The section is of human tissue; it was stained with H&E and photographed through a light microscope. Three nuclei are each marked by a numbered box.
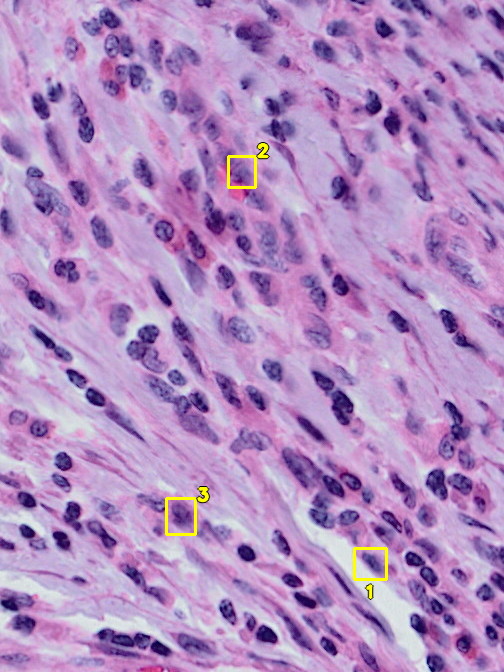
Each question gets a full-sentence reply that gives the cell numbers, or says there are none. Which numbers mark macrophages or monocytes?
Cell 3 is a macrophage or monocyte, while every other numbered cell is not.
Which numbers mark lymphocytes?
Only cell 1 qualifies as a lymphocyte among the numbered cells.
